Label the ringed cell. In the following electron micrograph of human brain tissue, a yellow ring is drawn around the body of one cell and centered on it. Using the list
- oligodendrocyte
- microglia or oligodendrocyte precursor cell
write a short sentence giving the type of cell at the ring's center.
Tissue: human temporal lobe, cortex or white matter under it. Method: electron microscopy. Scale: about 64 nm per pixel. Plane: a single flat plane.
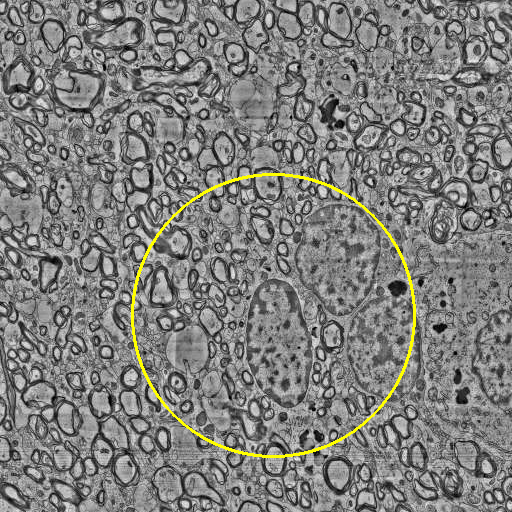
The cell body at the ring's center is that of a microglial cell or oligodendrocyte precursor cell.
